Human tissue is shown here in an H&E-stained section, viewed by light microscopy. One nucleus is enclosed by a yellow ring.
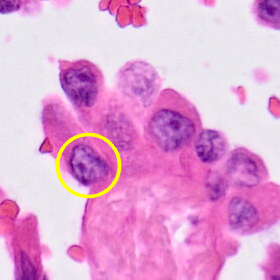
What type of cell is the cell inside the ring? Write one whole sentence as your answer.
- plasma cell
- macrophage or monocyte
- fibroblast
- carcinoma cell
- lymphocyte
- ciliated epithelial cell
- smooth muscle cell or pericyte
In this tissue sample, the cell inside the ring is a carcinoma cell.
